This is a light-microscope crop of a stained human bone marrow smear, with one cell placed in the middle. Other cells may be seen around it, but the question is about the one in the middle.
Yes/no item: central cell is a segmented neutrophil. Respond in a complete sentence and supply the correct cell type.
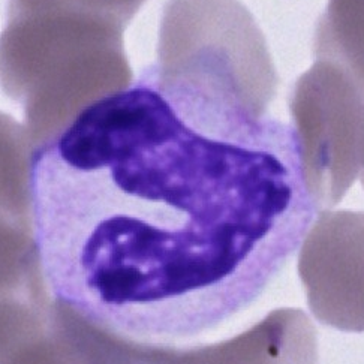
No, a band neutrophil rather than a segmented neutrophil is the cell at the centre of the crop.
